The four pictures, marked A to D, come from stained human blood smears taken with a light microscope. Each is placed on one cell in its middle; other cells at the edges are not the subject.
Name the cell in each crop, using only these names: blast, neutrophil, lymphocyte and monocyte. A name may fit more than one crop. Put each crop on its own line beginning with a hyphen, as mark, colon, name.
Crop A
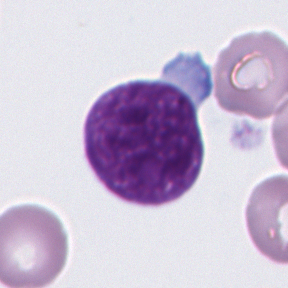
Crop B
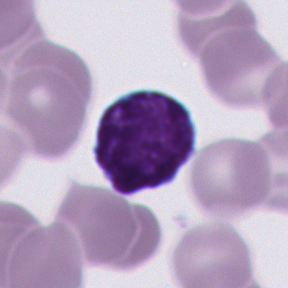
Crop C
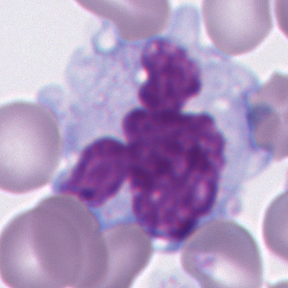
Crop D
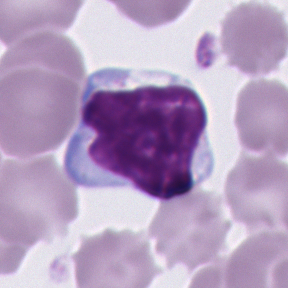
- A: blast
- B: lymphocyte
- C: monocyte
- D: lymphocyte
